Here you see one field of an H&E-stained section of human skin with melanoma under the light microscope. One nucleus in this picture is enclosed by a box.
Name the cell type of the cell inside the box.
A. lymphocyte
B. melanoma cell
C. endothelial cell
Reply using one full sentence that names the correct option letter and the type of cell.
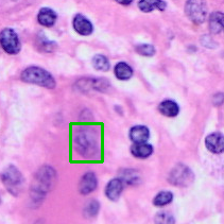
Option C is the correct one, since the cell inside the box is an endothelial cell.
